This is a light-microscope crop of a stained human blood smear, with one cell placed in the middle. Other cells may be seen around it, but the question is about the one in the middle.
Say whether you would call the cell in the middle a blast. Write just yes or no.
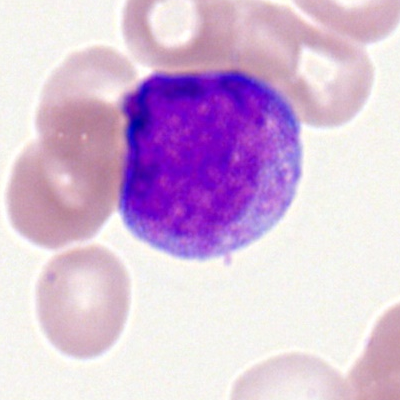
yes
